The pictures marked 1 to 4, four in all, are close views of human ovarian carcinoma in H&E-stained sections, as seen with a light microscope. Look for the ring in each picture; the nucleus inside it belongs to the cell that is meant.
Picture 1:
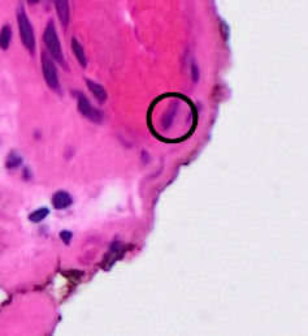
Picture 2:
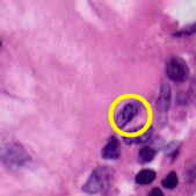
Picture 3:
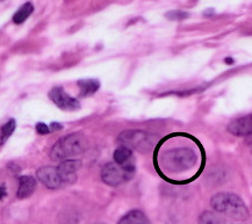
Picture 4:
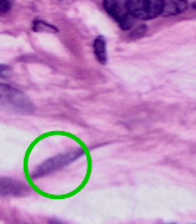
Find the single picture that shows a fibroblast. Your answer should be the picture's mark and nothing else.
4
